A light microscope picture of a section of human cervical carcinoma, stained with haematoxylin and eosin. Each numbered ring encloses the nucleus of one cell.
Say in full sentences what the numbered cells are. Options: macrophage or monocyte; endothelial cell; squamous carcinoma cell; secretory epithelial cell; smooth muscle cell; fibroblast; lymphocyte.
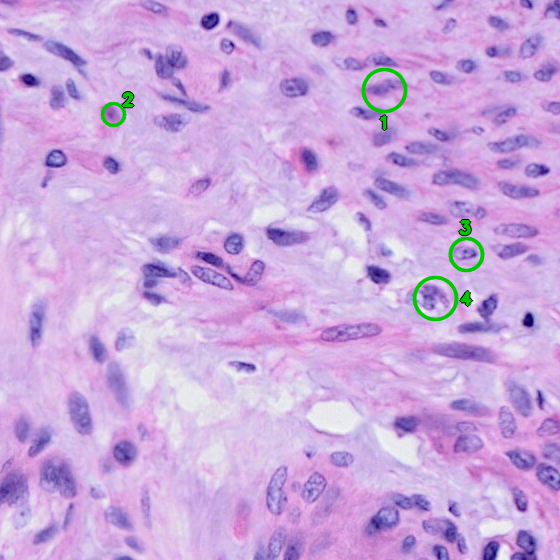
Cell 1 is a smooth muscle cell, cell 2 is a smooth muscle cell, cell 3 is a smooth muscle cell and cell 4 is a macrophage or monocyte.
